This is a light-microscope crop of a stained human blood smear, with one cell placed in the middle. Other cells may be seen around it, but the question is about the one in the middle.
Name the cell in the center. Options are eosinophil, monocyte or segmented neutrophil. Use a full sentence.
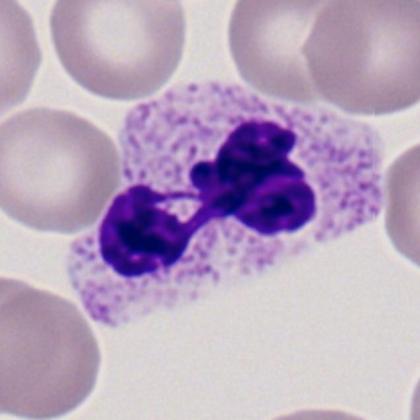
The centrally placed cell is classified as a segmented neutrophil.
